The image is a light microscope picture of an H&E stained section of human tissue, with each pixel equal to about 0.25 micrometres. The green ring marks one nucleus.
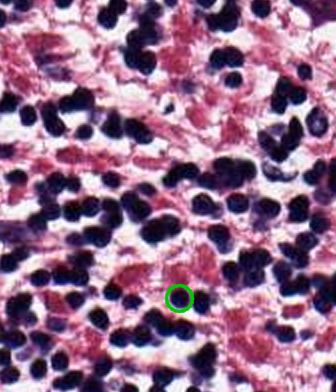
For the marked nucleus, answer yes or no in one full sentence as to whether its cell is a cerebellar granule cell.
Yes, the nucleus that has been marked is that of a cerebellar granule cell.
